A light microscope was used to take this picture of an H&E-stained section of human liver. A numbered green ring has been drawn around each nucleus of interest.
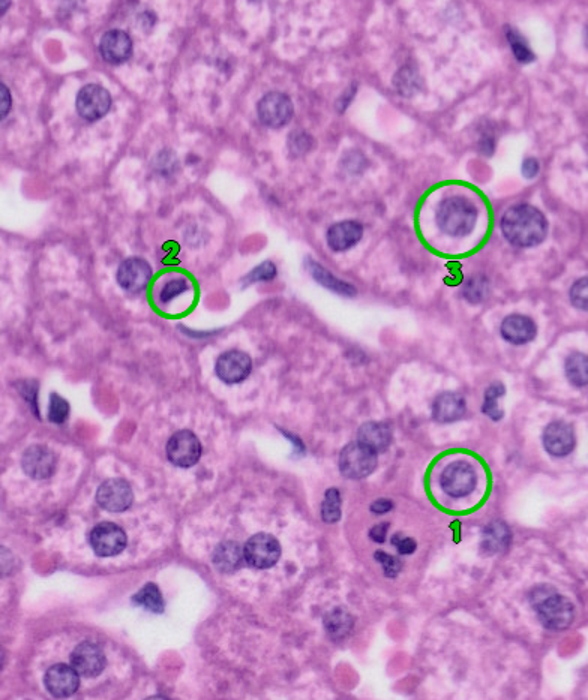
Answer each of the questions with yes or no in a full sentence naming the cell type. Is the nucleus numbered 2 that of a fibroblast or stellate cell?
Yes, the cell to which number 2 refers is a fibroblast or stellate cell.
